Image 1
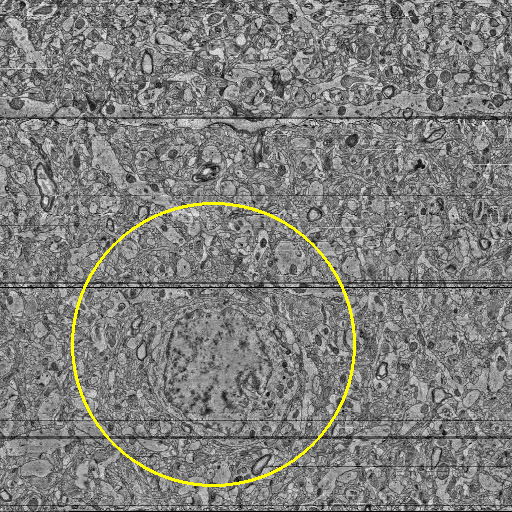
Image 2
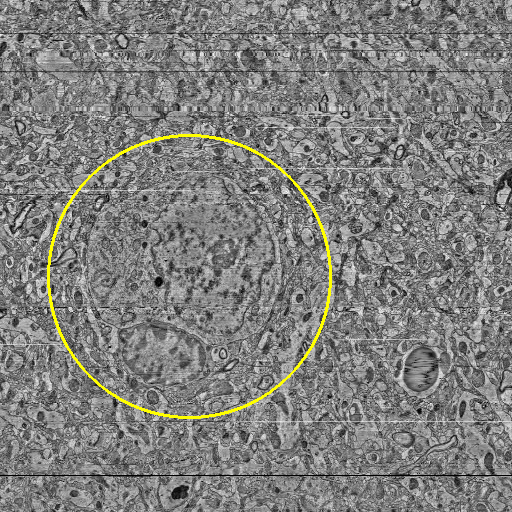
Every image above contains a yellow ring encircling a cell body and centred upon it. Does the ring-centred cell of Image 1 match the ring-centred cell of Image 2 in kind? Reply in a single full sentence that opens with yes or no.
Yes, the cell at the ring's centre in Image 1 is the same kind as that in Image 2.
